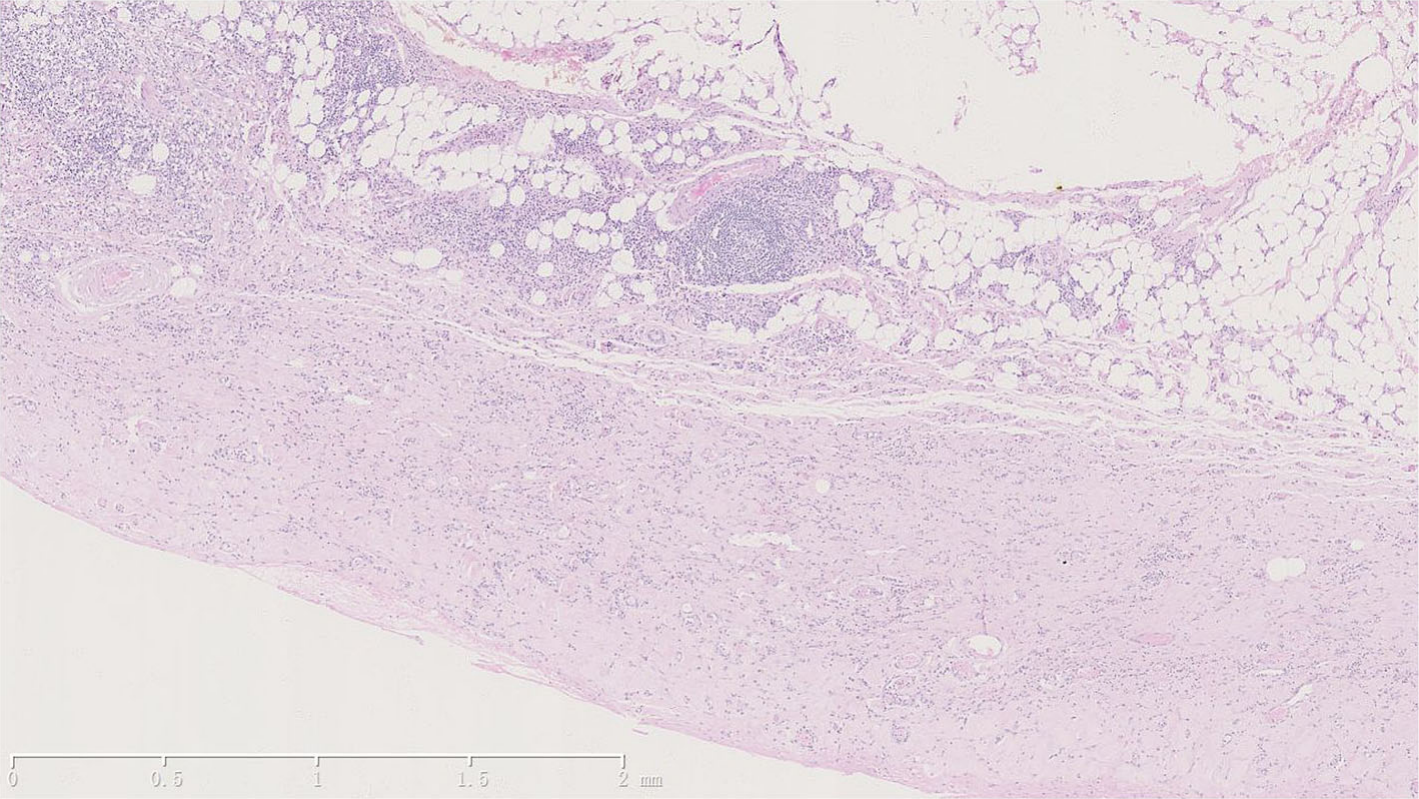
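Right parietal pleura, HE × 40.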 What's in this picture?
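The fibrous band is pale pink and collagen-rich, with scattered small nuclei and small vessels, and it runs along the whole free edge of the tissue. Above it, the fat consists of many round, clear adipocyte spaces separated by thin pink septa, into which fibrous strands extend. Between the fat cells lie dense sheets of small, dark purple inflammatory cells. Near the middle of the fat, these cells gather into a round, compact lymphoid follicle.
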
